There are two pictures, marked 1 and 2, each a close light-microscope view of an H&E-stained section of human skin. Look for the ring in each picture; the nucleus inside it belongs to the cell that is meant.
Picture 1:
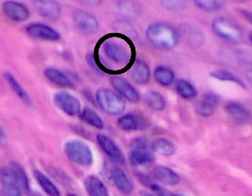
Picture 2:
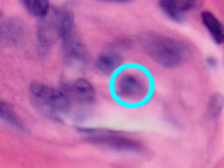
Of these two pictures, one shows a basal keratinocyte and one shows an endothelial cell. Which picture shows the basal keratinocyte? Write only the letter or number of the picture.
1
